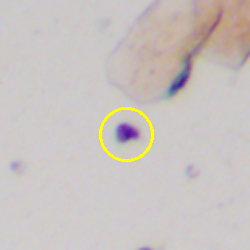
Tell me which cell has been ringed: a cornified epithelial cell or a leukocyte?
It is a leukocyte.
